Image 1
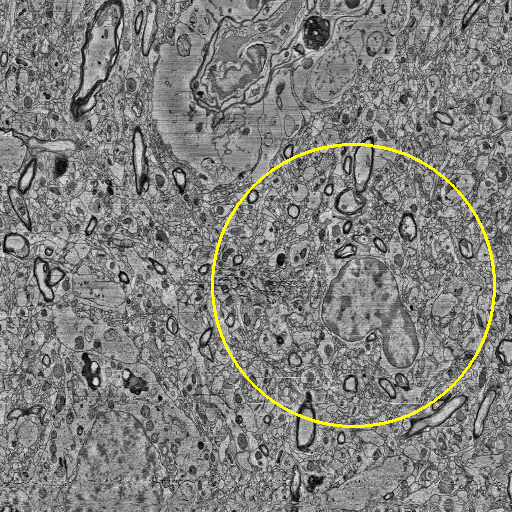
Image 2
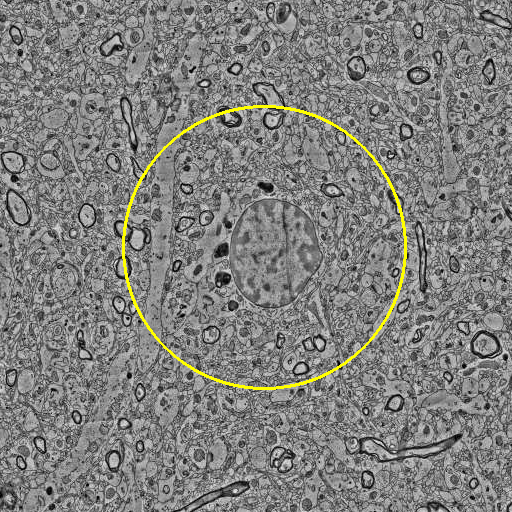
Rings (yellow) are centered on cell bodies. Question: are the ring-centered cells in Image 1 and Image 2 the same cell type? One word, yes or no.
yes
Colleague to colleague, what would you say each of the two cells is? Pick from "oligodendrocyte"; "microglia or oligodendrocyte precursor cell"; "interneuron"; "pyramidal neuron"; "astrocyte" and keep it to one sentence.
Each of the two rings is centred on a microglial cell or oligodendrocyte precursor cell.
